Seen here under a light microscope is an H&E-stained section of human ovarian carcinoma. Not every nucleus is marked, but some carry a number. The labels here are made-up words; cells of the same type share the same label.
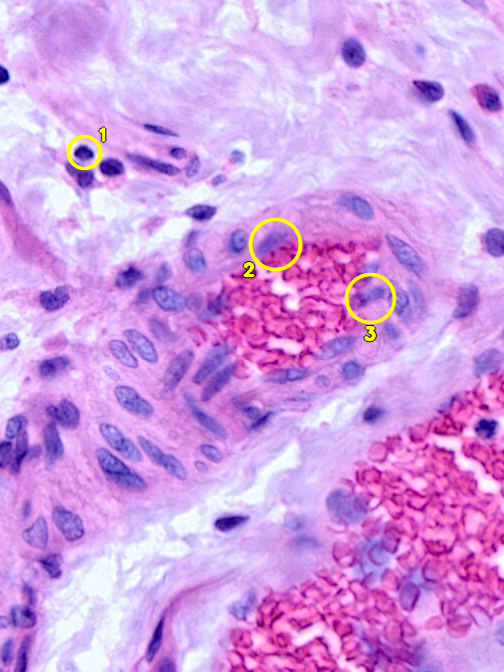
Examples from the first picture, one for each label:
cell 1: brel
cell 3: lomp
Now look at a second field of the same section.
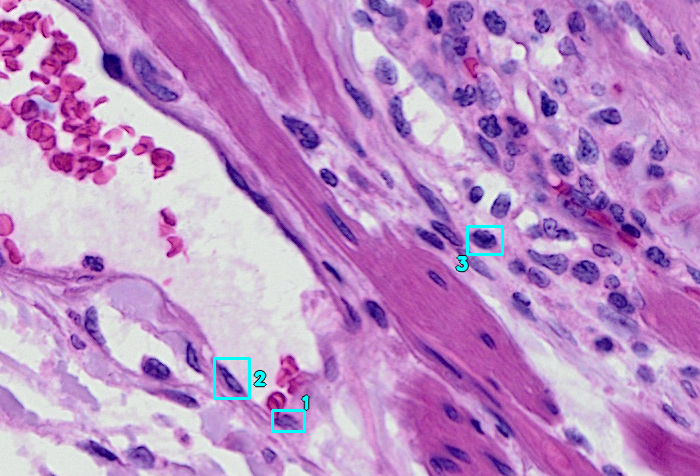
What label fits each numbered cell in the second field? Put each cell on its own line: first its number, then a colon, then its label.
1: lomp
2: lomp
3: brel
